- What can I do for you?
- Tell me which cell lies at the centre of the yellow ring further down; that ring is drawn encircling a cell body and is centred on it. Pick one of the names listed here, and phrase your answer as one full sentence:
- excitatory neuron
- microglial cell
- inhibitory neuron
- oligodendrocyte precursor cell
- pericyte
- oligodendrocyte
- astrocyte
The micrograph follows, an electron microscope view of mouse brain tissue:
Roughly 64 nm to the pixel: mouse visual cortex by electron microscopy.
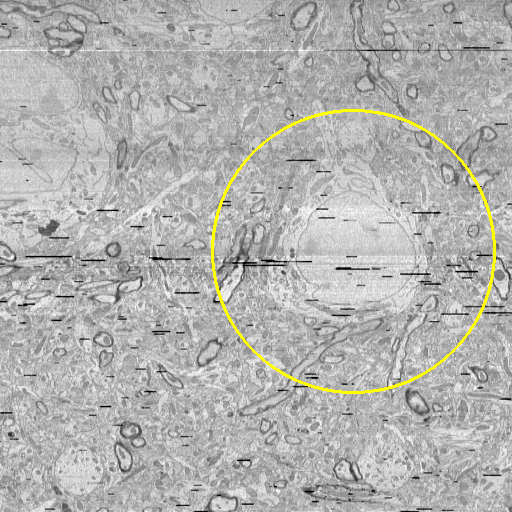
The cell whose body lies at the centre of the yellow ring is an excitatory neuron.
